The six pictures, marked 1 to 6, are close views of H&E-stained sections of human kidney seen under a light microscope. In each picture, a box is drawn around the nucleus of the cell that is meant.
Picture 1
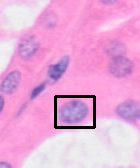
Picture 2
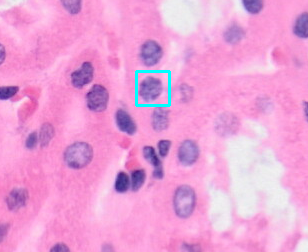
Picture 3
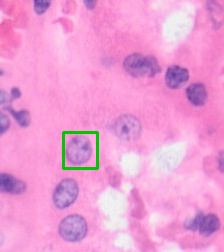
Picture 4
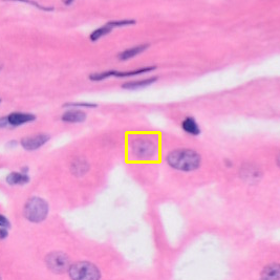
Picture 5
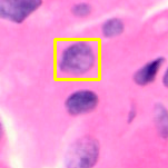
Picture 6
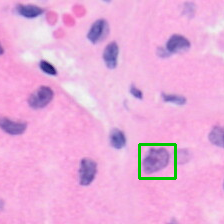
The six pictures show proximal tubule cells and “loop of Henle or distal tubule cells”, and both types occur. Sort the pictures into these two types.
1: loop of Henle or distal tubule cell
2: loop of Henle or distal tubule cell
3: proximal tubule cell
4: proximal tubule cell
5: loop of Henle or distal tubule cell
6: proximal tubule cell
